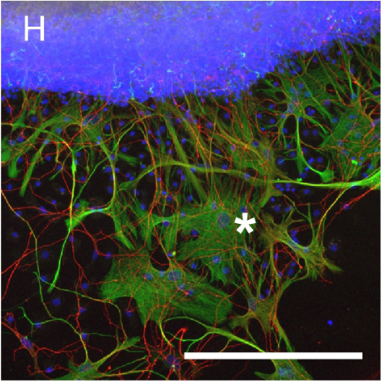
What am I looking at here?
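The explant lies at the top as a dense mass of packed blue nuclei. Below it large flat green glial cells spread out with fibrous cytoplasm and long thick processes, many of them reaching back toward the explant. Thin red axons run out of the explant among and over these glial cells, branching as they go.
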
